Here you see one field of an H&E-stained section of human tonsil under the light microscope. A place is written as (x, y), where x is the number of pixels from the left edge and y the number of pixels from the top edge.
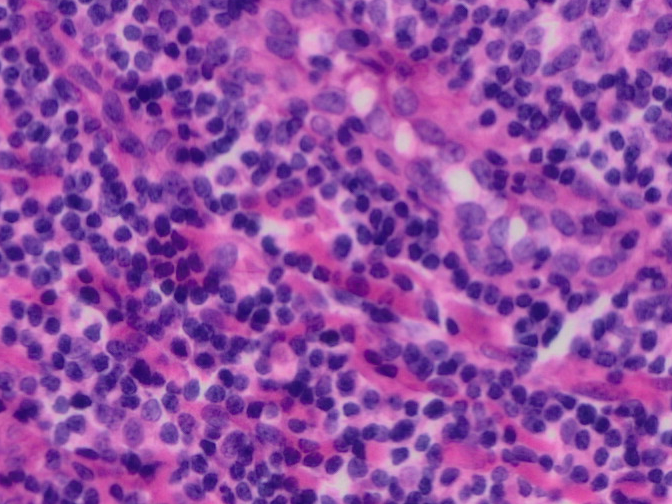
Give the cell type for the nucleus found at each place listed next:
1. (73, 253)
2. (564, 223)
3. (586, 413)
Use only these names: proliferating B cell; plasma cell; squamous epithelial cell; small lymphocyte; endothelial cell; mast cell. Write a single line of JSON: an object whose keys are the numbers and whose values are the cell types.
{"1": "small lymphocyte", "2": "endothelial cell", "3": "small lymphocyte"}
